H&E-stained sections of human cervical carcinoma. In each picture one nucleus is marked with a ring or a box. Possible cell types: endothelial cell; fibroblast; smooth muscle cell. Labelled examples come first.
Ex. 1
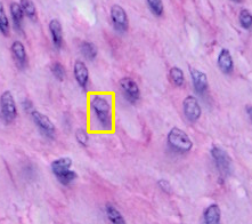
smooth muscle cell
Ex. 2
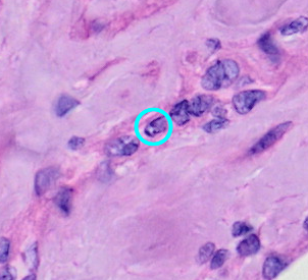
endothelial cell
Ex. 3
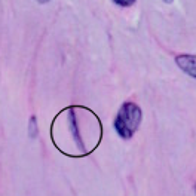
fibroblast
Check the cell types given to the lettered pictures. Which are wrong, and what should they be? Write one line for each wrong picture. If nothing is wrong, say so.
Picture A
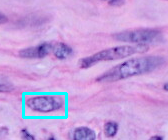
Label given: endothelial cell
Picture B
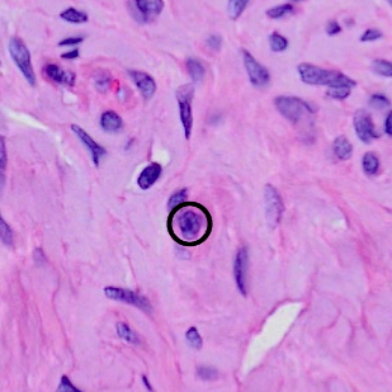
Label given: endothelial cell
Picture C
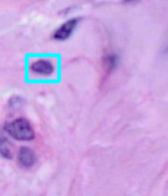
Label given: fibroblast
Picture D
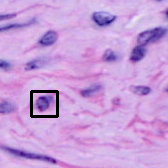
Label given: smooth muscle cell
A: change endothelial cell to smooth muscle cell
